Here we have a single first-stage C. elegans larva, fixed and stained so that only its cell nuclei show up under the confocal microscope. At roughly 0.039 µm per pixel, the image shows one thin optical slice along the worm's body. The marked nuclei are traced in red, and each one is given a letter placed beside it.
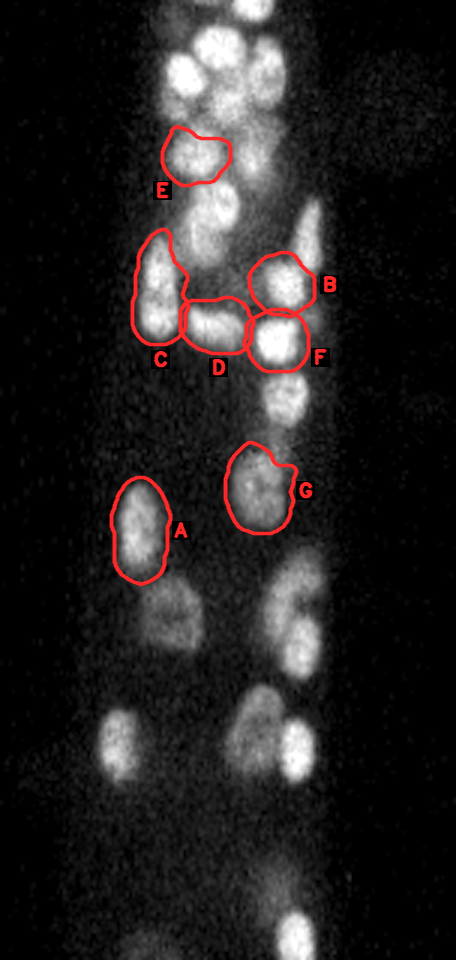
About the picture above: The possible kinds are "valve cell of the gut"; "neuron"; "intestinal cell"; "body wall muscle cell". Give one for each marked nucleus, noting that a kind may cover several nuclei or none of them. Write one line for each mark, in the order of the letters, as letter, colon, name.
A: body wall muscle cell
B: neuron
C: body wall muscle cell
D: valve cell of the gut
E: neuron
F: neuron
G: intestinal cell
